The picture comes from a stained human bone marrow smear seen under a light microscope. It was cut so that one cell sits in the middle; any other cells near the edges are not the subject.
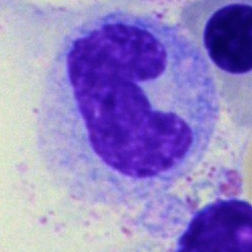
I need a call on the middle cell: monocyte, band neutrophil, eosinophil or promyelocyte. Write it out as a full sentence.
The middle of this crop is occupied by a monocyte.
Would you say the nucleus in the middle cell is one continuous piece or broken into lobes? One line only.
The nucleus holds together as a single compact mass, round, oval or kidney-like.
